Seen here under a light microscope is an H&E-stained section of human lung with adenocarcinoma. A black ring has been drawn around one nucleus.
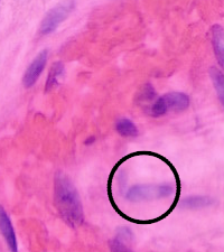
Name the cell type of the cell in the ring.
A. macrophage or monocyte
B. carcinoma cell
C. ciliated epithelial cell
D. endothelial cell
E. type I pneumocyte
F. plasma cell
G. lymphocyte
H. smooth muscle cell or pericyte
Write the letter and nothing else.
H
